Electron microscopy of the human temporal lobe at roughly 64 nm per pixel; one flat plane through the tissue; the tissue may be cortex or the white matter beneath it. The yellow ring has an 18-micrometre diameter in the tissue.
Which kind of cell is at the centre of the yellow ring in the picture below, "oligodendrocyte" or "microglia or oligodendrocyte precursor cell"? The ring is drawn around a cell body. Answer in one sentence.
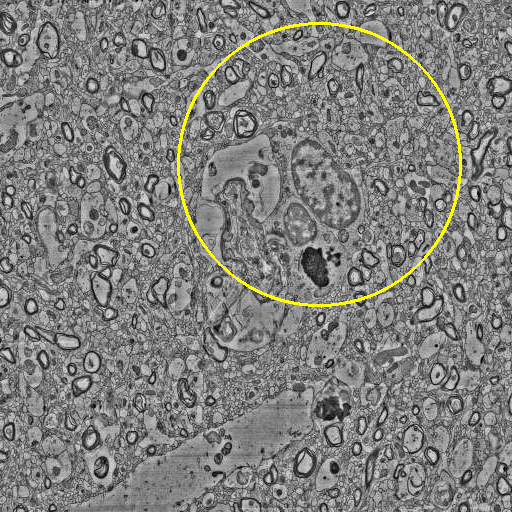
The ring's central cell is an oligodendrocyte.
